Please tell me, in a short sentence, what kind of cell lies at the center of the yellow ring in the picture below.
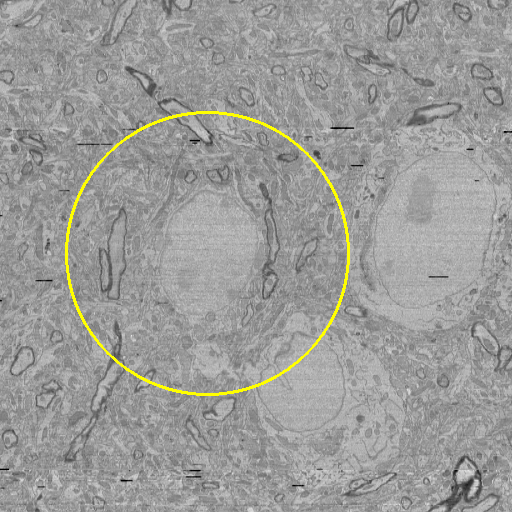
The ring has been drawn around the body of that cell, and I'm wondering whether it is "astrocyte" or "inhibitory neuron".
The cell at the center of the ring is an astrocyte.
